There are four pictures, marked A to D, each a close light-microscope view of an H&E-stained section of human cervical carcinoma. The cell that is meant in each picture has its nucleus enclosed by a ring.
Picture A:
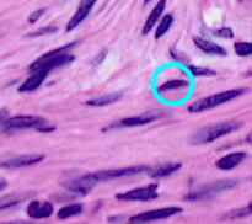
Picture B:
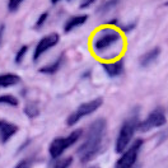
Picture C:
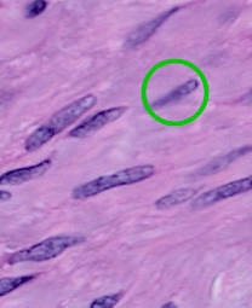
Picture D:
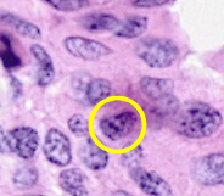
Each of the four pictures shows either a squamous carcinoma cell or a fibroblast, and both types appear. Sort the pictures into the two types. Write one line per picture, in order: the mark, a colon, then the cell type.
A: fibroblast
B: fibroblast
C: fibroblast
D: squamous carcinoma cell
